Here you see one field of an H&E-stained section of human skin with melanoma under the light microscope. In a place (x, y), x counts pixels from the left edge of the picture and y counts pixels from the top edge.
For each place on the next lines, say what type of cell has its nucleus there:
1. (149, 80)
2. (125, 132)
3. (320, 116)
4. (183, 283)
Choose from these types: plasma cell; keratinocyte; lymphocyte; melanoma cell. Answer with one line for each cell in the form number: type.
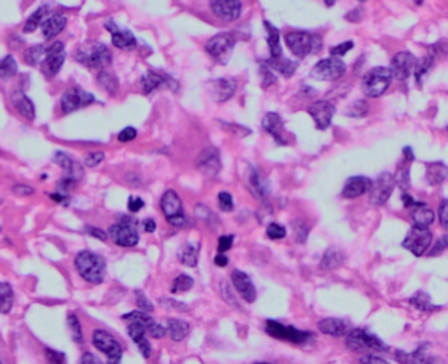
1: melanoma cell
2: lymphocyte
3: melanoma cell
4: melanoma cell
